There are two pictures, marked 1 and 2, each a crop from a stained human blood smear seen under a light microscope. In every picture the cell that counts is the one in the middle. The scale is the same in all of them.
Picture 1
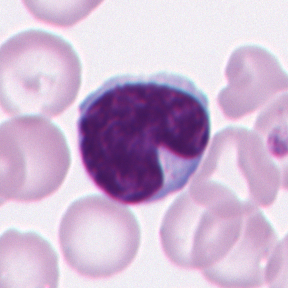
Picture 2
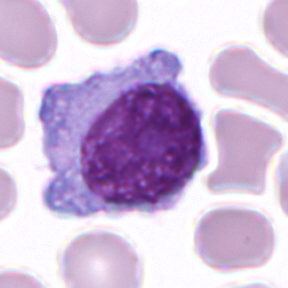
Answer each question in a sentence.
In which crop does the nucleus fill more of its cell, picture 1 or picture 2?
Of the two, the nucleus in picture 1 makes up the greater part of its cell.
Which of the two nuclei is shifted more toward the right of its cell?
It is the nucleus in picture 2 that lies further toward the right of its cell.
